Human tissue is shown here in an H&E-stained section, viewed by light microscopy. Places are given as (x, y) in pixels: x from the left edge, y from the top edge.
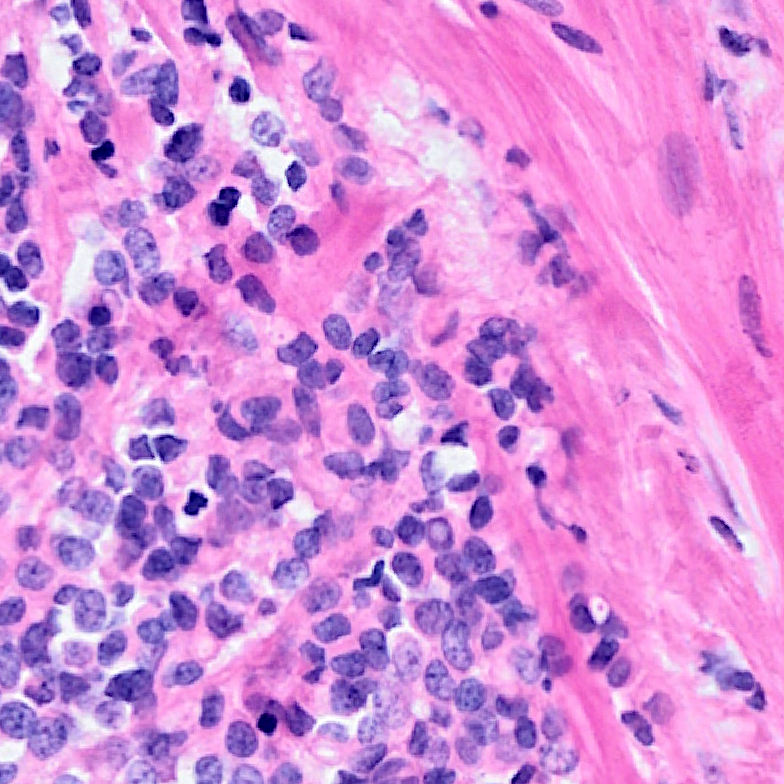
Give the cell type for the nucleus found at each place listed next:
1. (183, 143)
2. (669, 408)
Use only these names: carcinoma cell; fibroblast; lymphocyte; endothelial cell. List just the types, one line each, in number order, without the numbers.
carcinoma cell
fibroblast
